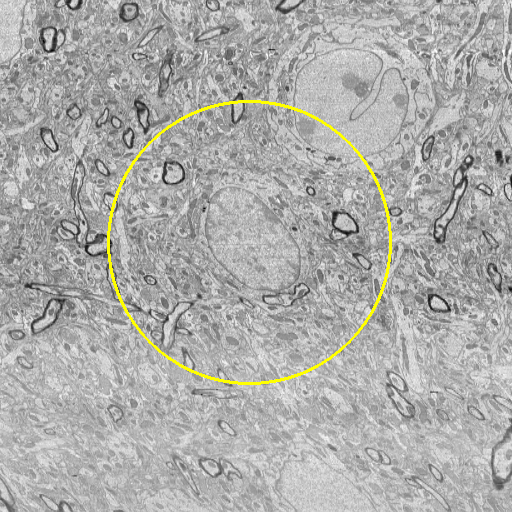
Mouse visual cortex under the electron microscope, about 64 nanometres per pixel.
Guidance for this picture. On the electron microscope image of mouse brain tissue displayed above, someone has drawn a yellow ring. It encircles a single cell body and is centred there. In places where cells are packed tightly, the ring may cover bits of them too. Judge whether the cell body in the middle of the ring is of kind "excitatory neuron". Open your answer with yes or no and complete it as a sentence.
No, another kind matches the cell whose body lies at the ring's centre in the image above.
